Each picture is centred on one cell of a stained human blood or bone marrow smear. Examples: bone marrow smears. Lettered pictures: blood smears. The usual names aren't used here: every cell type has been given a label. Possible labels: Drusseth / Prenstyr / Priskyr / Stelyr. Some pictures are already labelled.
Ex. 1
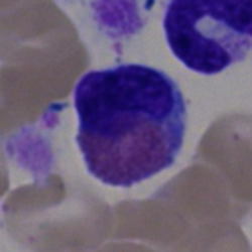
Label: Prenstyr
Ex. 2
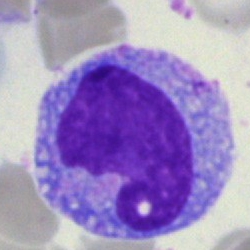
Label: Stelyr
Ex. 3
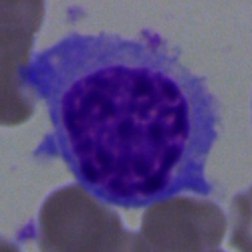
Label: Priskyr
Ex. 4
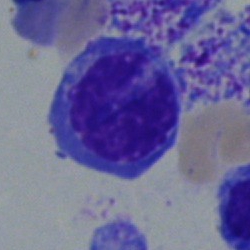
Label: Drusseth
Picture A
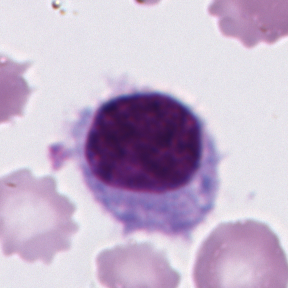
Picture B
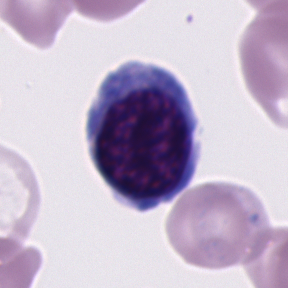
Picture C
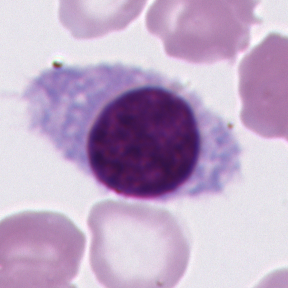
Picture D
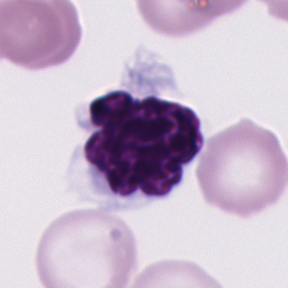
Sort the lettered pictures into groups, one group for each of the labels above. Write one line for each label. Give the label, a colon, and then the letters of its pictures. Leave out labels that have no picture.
Drusseth: B, D
Priskyr: A, C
